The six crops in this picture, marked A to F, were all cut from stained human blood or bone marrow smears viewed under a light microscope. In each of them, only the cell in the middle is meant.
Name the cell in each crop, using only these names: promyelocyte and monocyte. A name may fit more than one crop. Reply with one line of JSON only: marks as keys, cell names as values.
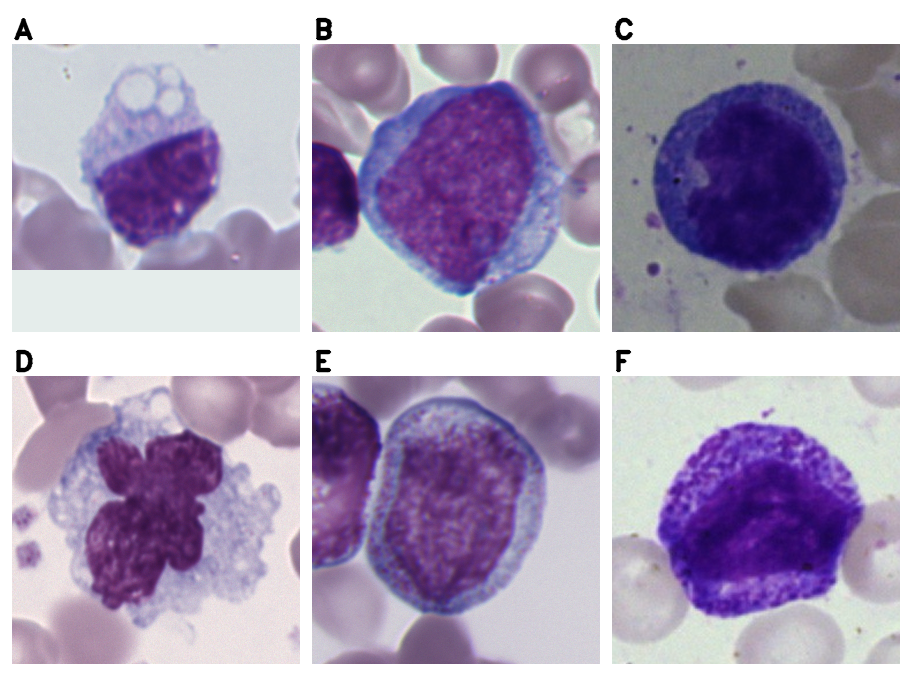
{"A": "monocyte", "B": "promyelocyte", "C": "promyelocyte", "D": "monocyte", "E": "promyelocyte", "F": "promyelocyte"}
